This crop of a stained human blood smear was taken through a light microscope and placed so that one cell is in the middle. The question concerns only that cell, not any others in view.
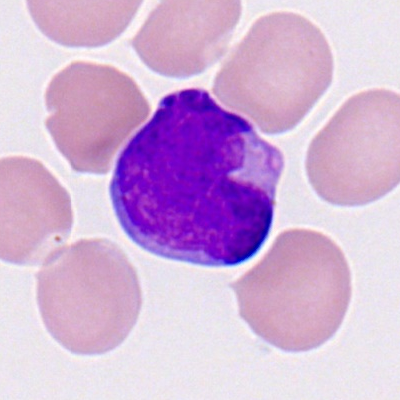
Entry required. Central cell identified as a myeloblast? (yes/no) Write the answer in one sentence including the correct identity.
Yes, that is a myeloblast in the middle of the crop.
